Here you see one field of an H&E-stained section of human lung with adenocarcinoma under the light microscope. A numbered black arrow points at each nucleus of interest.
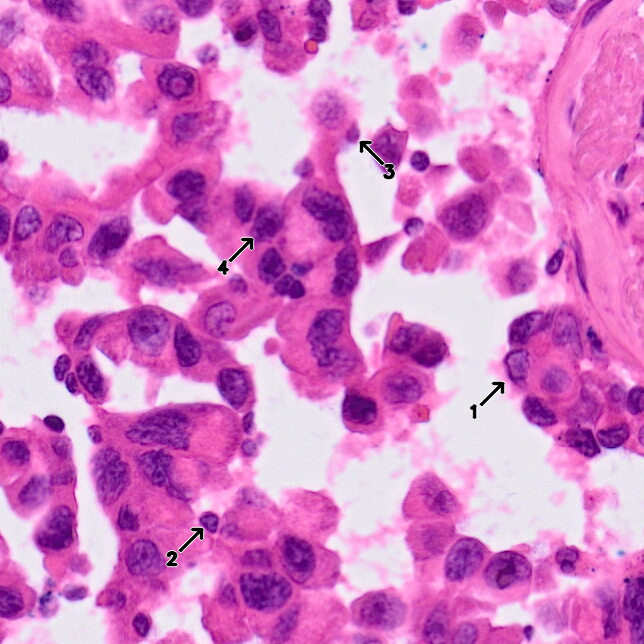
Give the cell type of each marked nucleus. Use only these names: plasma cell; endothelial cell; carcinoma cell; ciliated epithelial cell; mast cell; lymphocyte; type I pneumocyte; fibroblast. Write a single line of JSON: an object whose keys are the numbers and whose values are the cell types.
{"1": "carcinoma cell", "2": "lymphocyte", "3": "carcinoma cell", "4": "carcinoma cell"}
